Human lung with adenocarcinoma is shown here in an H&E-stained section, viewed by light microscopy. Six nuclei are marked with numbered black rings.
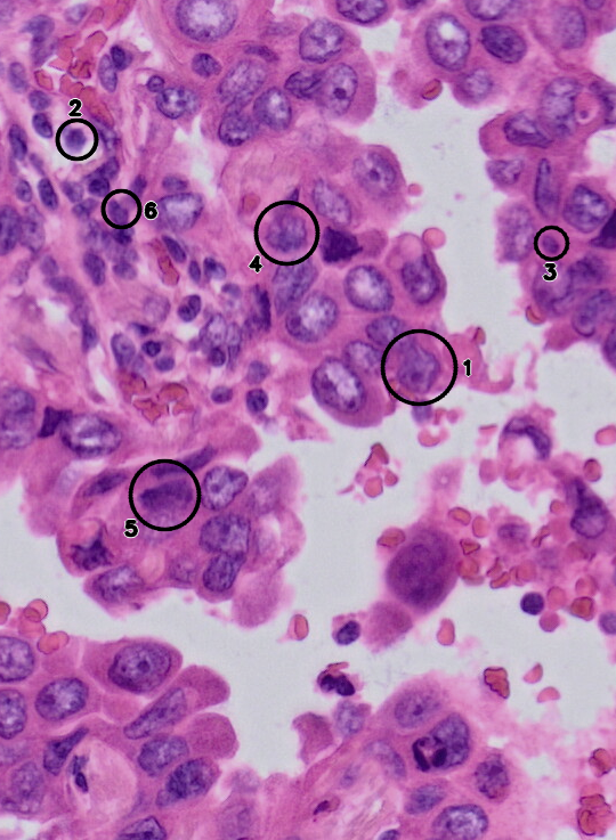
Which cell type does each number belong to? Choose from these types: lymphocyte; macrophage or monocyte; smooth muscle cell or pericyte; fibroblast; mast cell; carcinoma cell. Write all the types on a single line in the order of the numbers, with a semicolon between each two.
carcinoma cell; lymphocyte; carcinoma cell; carcinoma cell; carcinoma cell; lymphocyte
